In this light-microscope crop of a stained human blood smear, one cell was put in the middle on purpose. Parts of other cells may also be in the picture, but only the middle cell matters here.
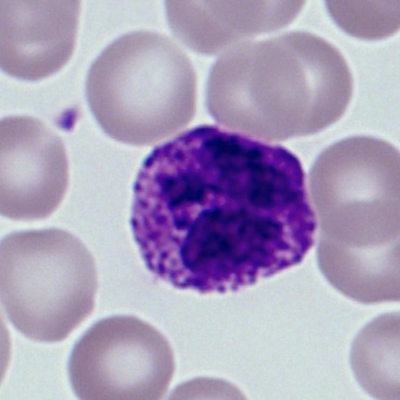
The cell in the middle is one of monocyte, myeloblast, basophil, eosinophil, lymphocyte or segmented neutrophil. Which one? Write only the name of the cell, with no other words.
basophil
